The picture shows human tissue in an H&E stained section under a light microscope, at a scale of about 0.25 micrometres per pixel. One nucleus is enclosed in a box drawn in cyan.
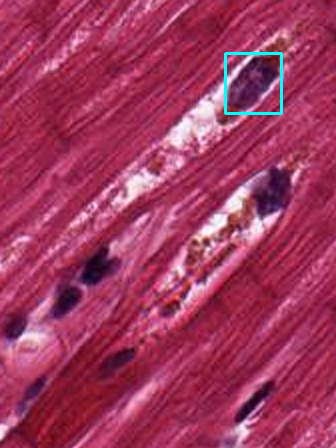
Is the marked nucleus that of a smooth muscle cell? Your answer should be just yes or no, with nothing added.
no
